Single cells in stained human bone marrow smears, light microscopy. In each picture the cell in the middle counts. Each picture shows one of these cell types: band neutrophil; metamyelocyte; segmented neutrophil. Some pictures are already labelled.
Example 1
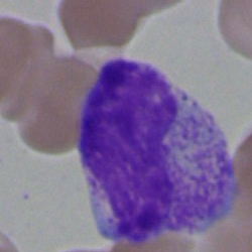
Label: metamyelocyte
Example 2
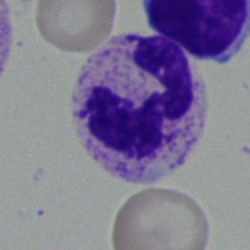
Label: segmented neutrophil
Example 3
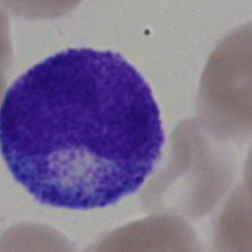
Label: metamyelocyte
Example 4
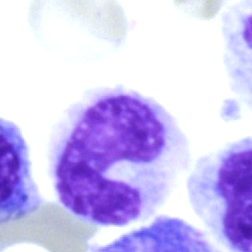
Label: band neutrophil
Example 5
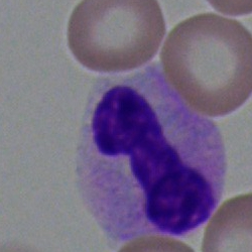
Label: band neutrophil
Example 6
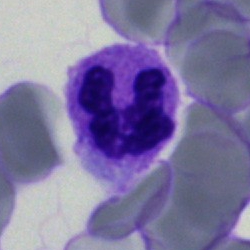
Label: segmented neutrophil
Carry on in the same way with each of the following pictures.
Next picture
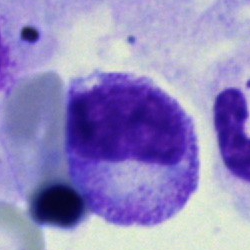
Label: metamyelocyte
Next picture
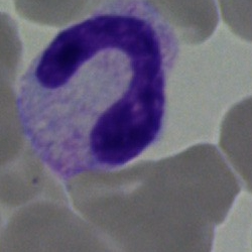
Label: band neutrophil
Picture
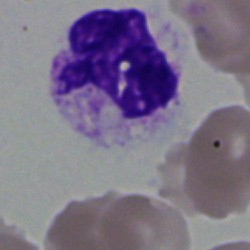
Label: segmented neutrophil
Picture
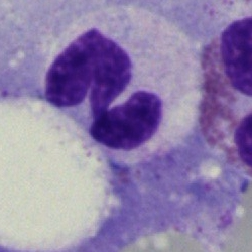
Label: segmented neutrophil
